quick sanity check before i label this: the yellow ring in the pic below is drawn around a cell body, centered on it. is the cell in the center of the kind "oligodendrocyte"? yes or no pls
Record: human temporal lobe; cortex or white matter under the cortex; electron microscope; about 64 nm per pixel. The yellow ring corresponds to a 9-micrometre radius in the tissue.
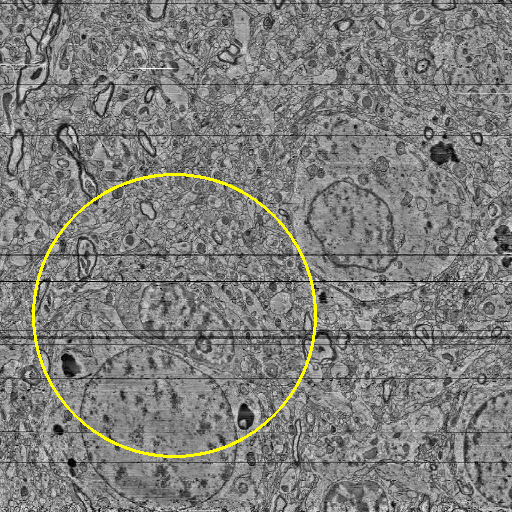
yes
